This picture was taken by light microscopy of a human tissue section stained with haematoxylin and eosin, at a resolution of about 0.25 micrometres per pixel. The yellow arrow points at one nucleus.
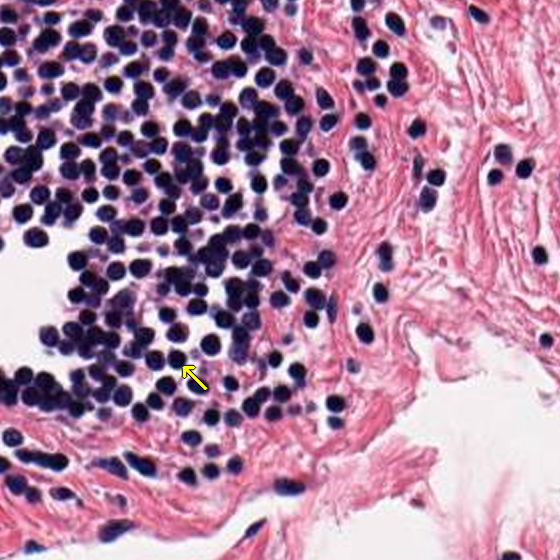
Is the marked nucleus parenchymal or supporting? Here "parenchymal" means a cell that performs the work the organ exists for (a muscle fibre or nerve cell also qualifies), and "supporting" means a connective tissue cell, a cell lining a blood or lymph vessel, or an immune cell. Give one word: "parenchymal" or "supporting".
supporting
